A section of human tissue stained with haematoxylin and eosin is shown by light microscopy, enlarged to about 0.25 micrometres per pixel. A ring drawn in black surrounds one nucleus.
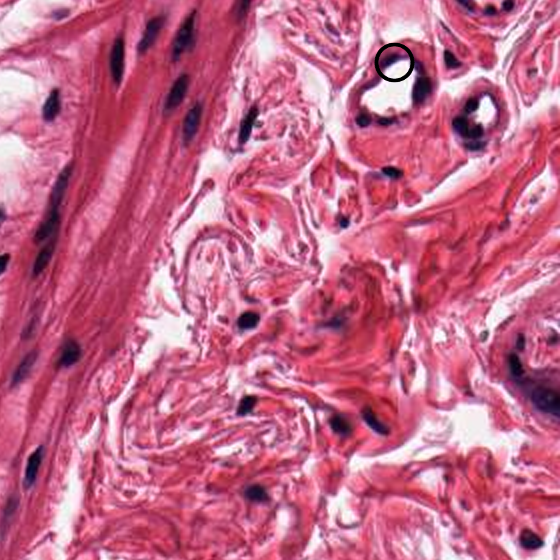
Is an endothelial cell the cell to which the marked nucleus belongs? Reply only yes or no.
yes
